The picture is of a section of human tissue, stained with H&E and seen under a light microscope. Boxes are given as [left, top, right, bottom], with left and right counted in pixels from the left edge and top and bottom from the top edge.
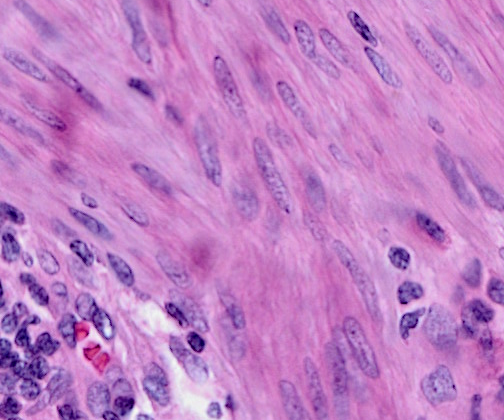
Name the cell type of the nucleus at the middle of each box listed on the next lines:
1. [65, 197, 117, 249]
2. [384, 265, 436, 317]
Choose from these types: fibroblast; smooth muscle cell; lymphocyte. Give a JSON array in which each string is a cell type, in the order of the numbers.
["fibroblast", "lymphocyte"]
